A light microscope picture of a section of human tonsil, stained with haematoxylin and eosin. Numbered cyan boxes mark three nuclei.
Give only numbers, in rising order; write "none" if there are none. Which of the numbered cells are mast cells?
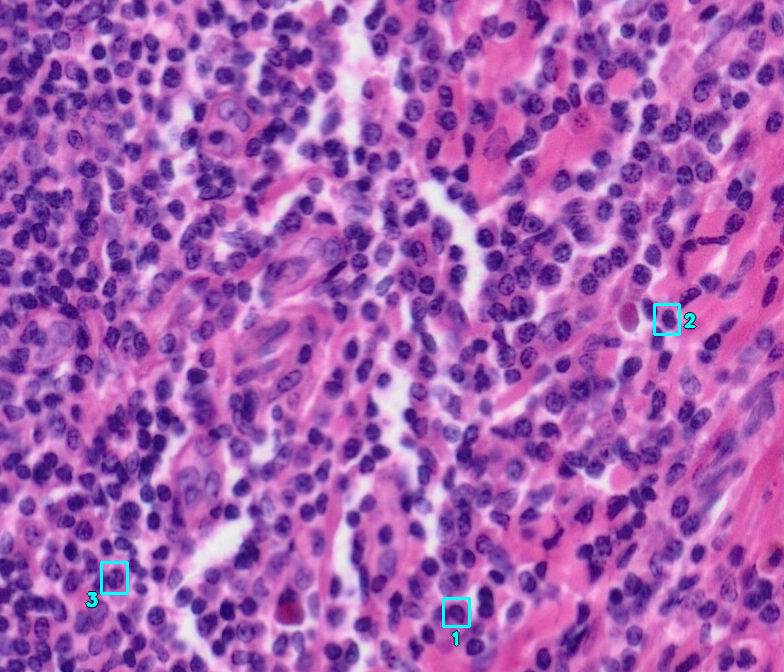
2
